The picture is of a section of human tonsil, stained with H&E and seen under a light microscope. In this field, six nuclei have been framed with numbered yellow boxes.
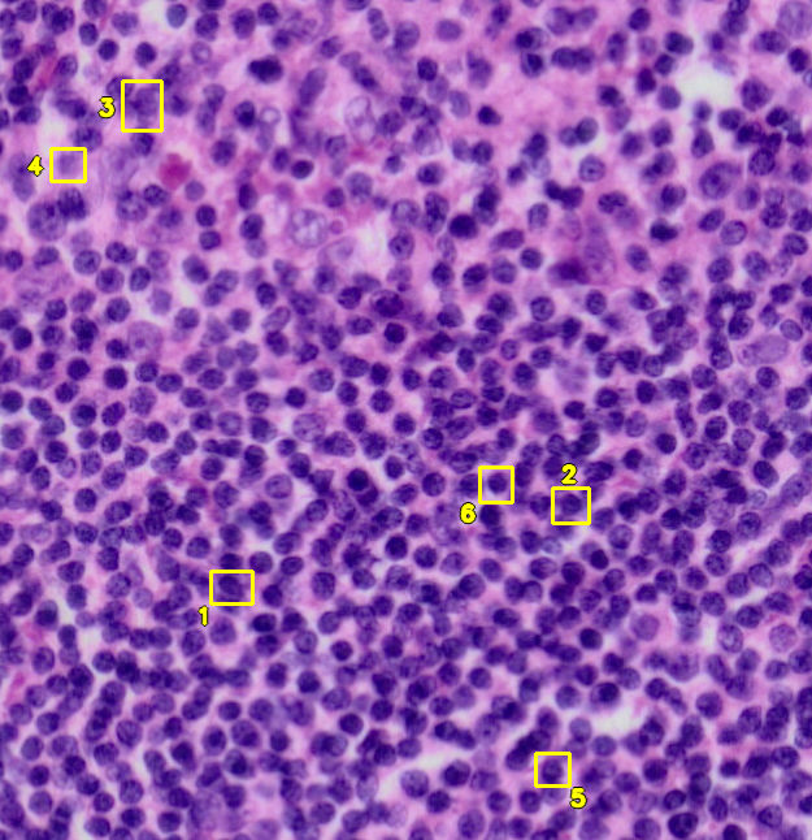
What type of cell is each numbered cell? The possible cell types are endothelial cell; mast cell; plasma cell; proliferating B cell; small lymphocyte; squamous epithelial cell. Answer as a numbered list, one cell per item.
1. small lymphocyte
2. small lymphocyte
3. proliferating B cell
4. proliferating B cell
5. small lymphocyte
6. small lymphocyte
